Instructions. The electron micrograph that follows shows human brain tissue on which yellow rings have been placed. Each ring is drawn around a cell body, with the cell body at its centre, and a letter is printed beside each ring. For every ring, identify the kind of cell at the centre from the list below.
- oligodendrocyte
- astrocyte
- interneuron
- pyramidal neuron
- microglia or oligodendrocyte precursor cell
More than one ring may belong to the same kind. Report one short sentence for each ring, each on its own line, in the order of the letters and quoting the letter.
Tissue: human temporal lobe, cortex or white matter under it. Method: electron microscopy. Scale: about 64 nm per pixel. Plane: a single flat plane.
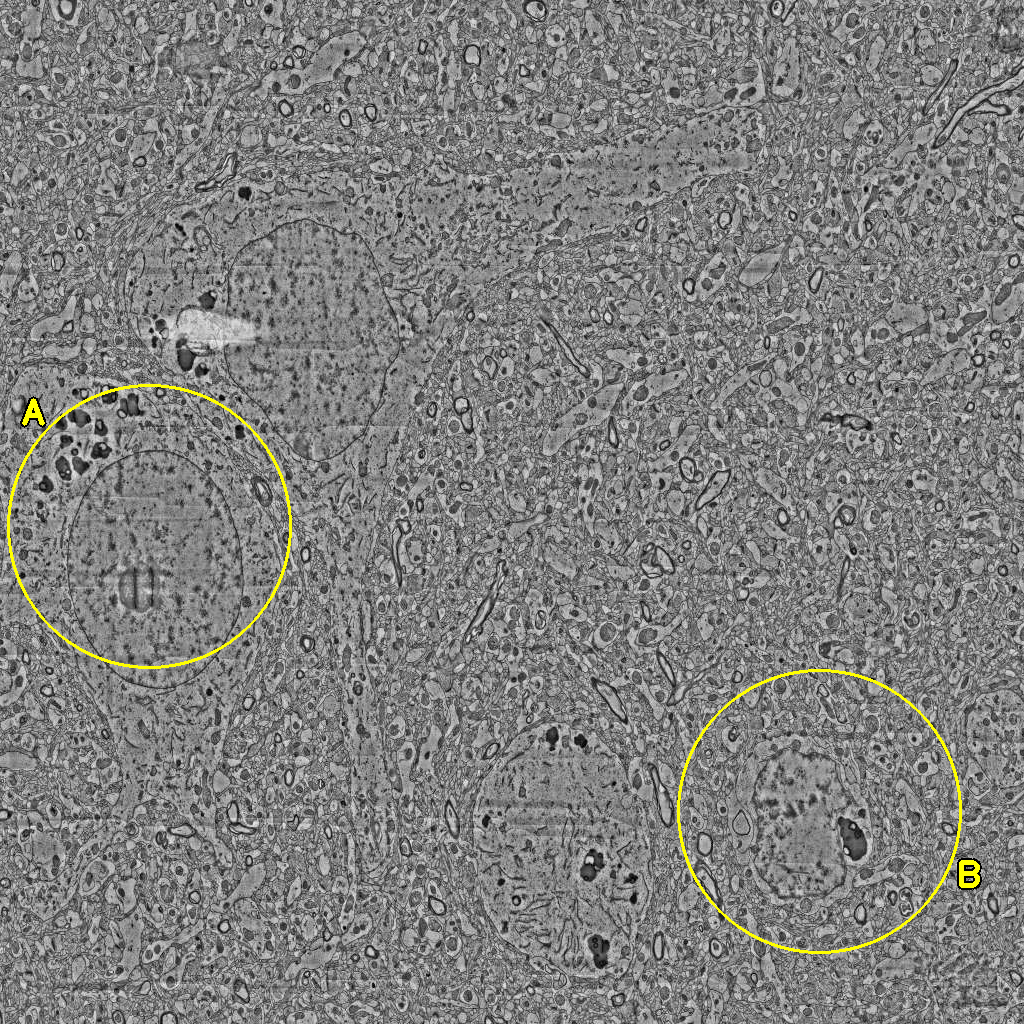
The centre of ring A is occupied by a pyramidal neuron.
The centre of ring B is occupied by an interneuron.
